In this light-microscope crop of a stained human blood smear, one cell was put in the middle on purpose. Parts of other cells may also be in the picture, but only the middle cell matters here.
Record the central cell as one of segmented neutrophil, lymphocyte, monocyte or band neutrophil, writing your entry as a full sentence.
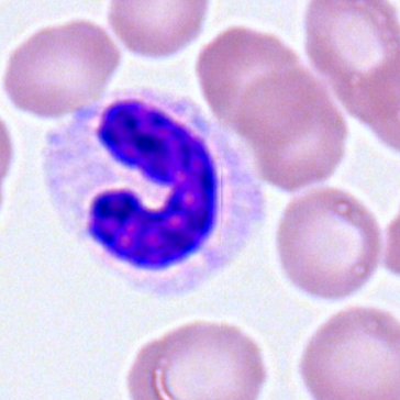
Centred in the crop is a band neutrophil.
